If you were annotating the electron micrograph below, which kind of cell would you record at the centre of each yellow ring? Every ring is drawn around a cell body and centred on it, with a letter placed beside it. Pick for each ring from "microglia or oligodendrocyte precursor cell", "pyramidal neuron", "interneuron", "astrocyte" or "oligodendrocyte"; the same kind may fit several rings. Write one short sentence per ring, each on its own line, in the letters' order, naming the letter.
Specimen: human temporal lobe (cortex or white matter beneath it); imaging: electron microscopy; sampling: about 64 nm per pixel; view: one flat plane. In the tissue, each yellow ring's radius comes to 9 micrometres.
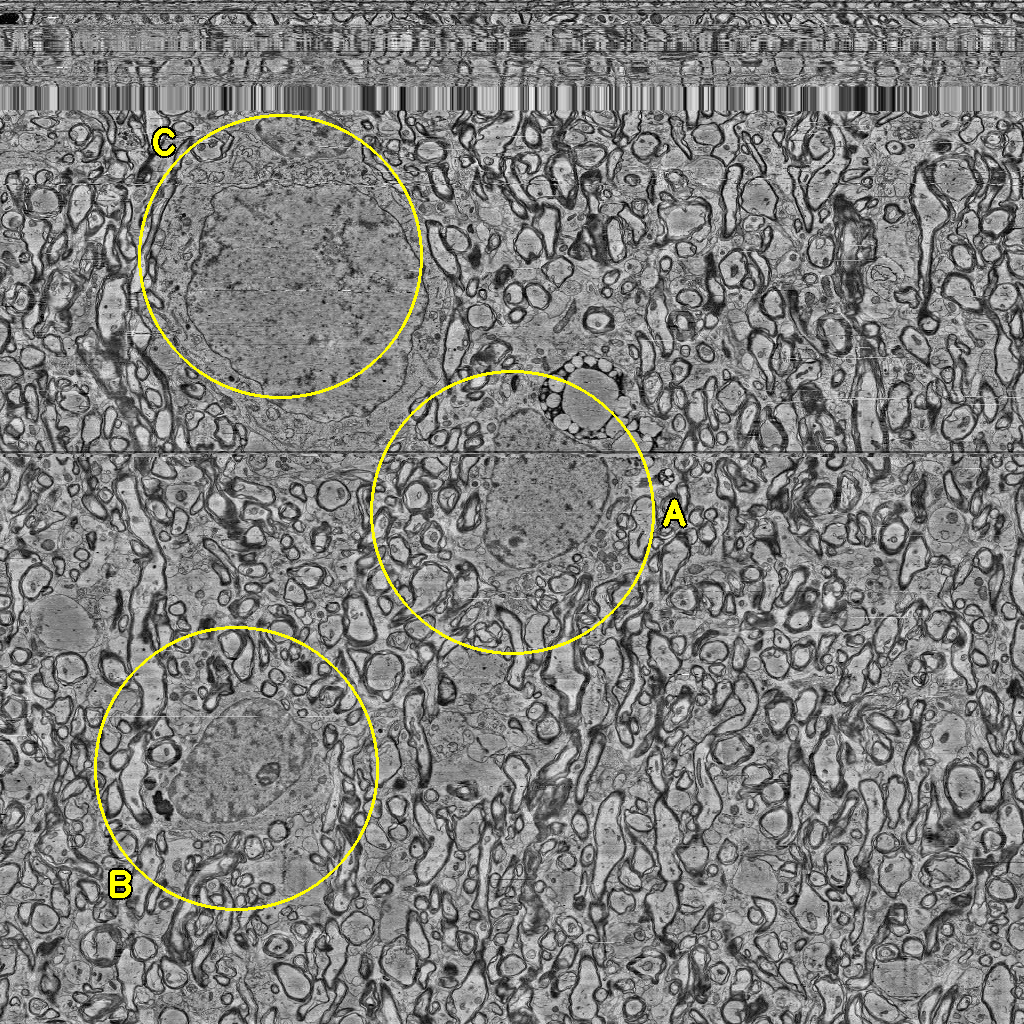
For ring A, I would record an astrocyte.
For ring B, I would record an oligodendrocyte.
For ring C, I would record a pyramidal neuron.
